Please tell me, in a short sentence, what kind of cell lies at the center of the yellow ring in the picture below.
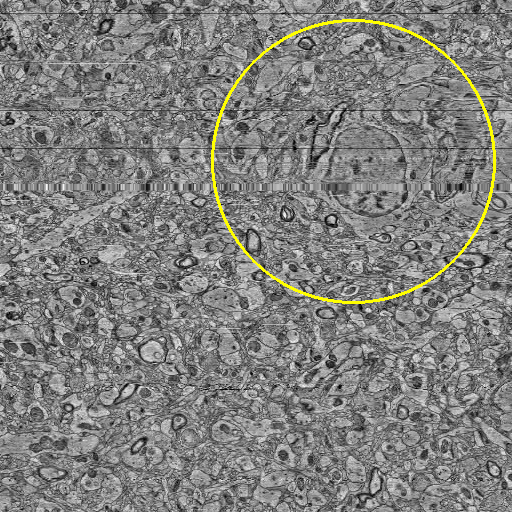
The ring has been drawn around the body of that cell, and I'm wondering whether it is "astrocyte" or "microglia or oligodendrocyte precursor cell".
The cell at the center of the ring is a microglial cell or oligodendrocyte precursor cell.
